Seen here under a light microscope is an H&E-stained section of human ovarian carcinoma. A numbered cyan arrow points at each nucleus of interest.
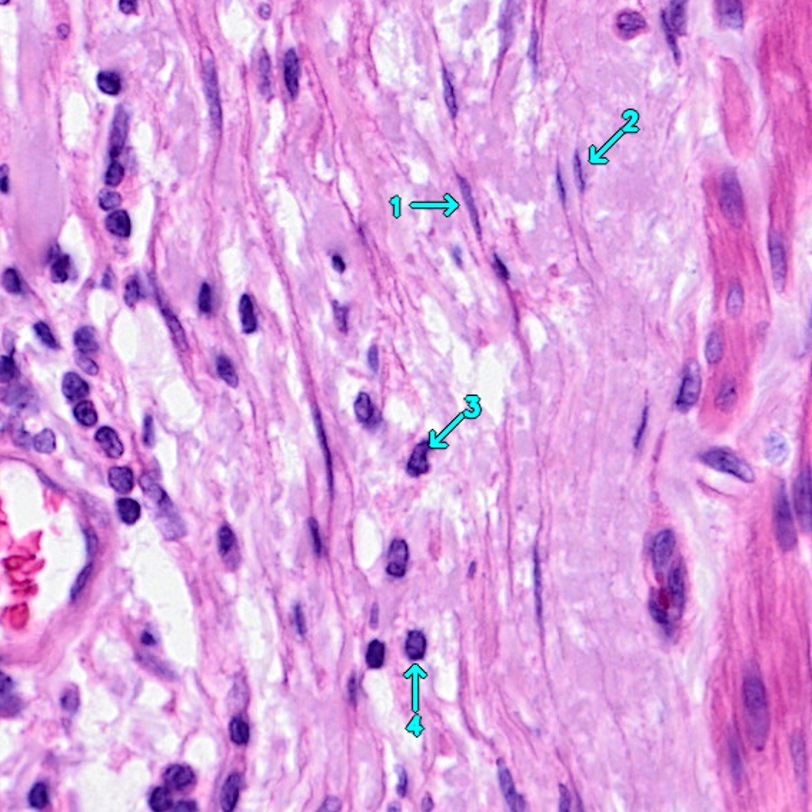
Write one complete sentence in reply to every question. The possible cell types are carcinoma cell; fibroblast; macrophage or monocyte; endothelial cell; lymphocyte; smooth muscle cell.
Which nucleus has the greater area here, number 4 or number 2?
It is nucleus 4, which covers about 1.5 times the area of nucleus 2.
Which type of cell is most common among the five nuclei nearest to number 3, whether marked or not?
Around number 3, most of the five nearest nuclei are those of macrophages or monocytes.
